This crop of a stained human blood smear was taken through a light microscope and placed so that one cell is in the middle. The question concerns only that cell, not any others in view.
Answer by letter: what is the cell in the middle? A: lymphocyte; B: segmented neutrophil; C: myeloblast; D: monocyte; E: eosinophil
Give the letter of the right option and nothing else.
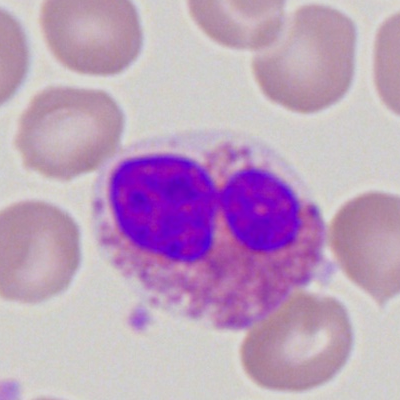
E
